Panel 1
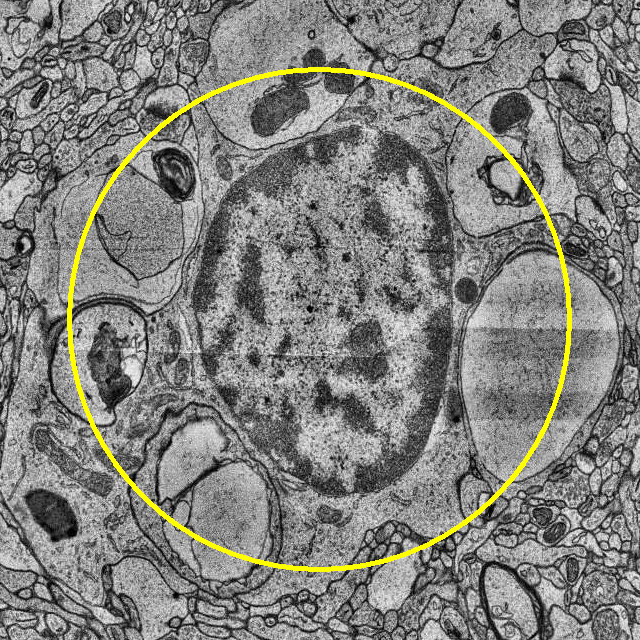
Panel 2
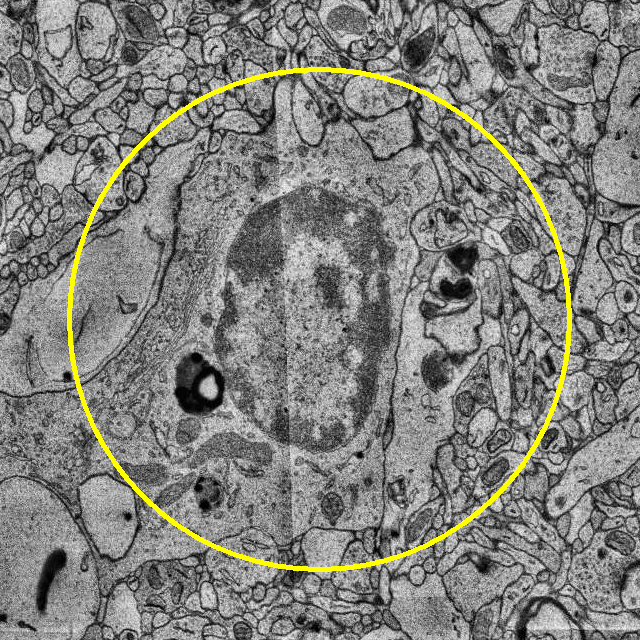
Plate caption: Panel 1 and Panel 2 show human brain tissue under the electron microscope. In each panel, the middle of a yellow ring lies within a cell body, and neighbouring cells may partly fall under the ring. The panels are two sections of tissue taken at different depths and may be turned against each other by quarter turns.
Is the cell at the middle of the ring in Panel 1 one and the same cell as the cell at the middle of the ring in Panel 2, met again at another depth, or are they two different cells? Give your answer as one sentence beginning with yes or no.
Yes, the same cell turns up inside each of the two rings.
